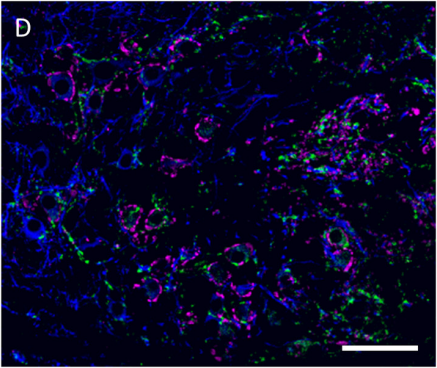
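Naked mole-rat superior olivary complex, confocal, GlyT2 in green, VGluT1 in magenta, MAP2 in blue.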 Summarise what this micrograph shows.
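This is the medial nucleus of the trapezoid body, with neurons sparsely distributed across a dark field. The neuronal somata are round, with blue-outlined cell bodies, and many are encircled by rings of coarse magenta puncta hugging the cell surface. Smaller green puncta are scattered between and around the cells, less dense than the magenta. Thin blue processes run between the somata, and the neurons are separated by wide spaces rather than packed together.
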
